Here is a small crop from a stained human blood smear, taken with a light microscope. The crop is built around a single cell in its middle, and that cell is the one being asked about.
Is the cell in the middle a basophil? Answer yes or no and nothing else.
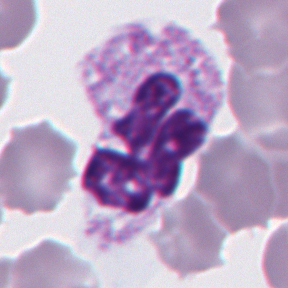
no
